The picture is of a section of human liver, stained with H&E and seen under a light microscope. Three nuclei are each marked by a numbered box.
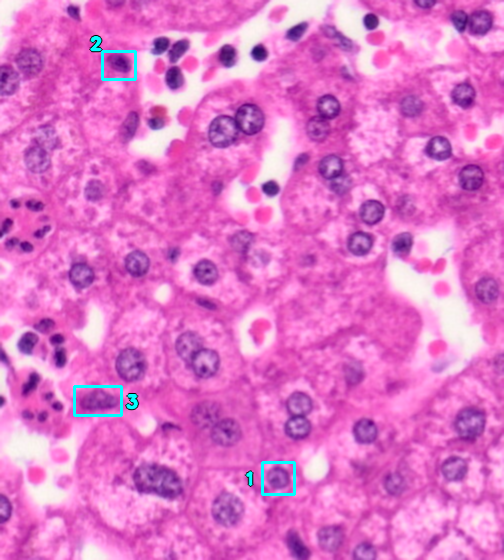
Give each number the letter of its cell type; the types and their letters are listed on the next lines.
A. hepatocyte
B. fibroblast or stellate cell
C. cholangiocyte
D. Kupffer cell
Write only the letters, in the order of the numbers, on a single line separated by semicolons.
A; B; D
